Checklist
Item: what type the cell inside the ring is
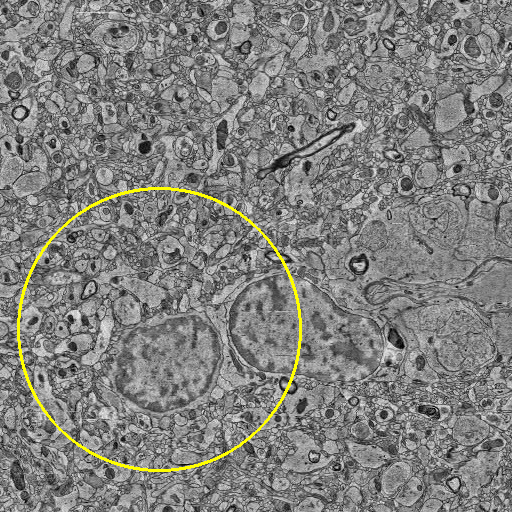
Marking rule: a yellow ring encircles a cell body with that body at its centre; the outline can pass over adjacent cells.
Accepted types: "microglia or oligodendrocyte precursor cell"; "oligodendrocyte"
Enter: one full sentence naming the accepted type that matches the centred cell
The entry is that an oligodendrocyte lies at the centre of the yellow ring.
